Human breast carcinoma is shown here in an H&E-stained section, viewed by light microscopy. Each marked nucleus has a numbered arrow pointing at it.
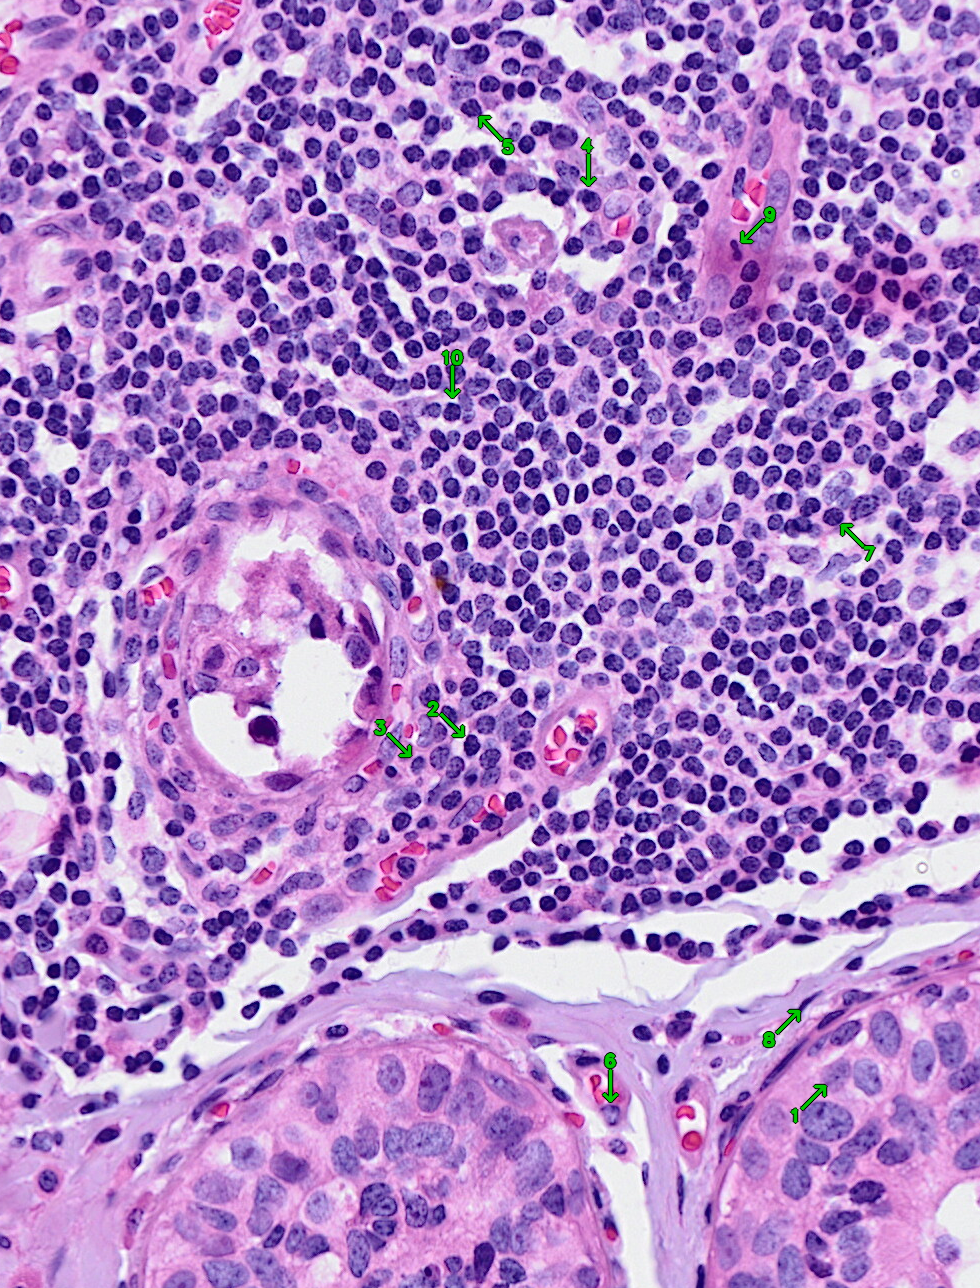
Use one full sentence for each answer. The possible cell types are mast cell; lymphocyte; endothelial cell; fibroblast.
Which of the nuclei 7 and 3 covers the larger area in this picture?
At about 1.5 times the area of nucleus 3, nucleus 7 is the larger of the two.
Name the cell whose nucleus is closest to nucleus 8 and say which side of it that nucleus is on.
Lying below and to the right of nucleus 8, the nearest nucleus is that of an endothelial cell.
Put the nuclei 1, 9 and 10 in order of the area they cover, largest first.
The nuclei rank 1, 10, 9, from largest to smallest.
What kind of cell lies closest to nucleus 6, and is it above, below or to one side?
The nearest nucleus is that of a mast cell and lies below nucleus 6.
